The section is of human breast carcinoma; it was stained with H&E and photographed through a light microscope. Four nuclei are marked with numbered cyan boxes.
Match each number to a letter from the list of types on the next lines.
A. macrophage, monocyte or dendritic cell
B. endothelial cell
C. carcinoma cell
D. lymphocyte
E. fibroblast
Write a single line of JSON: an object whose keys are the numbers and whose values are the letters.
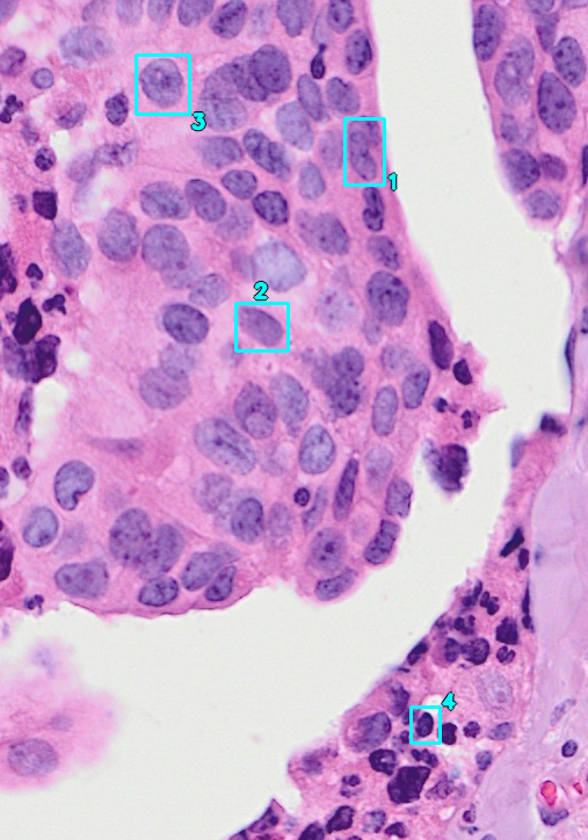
{"1": "C", "2": "C", "3": "C", "4": "D"}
